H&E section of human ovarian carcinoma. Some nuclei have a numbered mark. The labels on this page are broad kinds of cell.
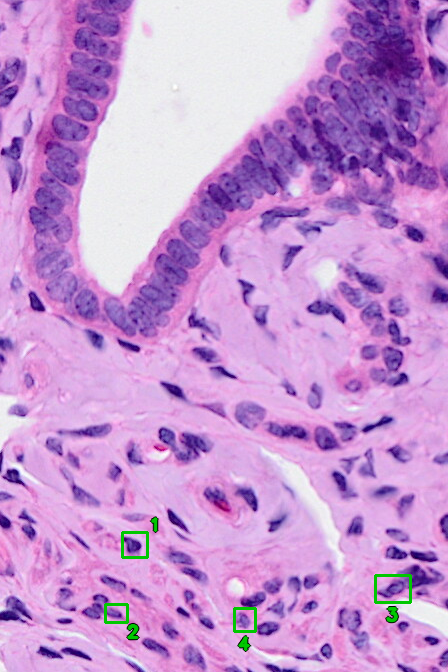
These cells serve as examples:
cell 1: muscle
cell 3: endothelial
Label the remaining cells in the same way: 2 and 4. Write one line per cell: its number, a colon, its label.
2: muscle
4: muscle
